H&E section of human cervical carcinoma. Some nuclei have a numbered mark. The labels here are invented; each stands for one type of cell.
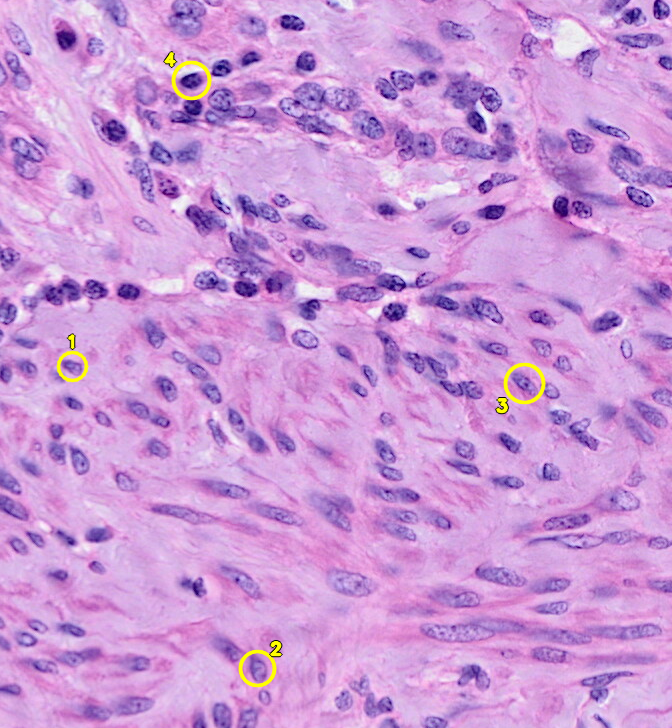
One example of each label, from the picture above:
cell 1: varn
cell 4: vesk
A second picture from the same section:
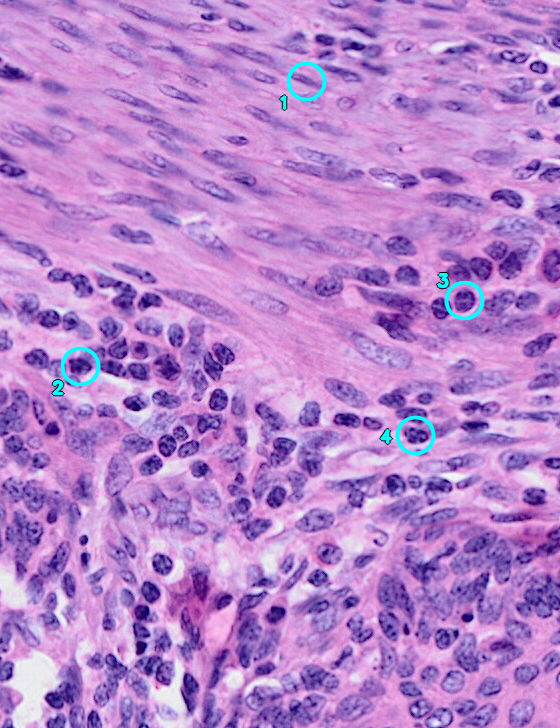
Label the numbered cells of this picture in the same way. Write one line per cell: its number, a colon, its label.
1: varn
2: vesk
3: vesk
4: vesk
